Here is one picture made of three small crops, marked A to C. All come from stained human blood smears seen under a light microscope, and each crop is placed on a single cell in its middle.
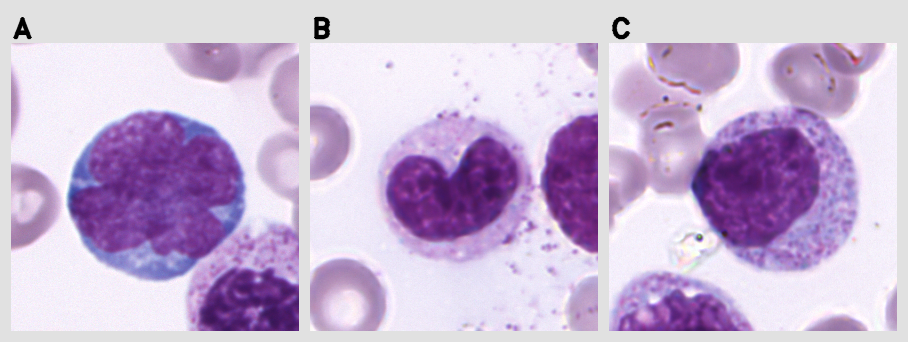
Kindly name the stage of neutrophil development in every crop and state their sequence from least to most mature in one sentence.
Moving up in maturity, the order goes crop A (a myeloblast), crop C (a myelocyte) and crop B (a band neutrophil).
